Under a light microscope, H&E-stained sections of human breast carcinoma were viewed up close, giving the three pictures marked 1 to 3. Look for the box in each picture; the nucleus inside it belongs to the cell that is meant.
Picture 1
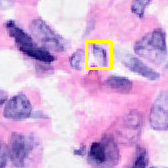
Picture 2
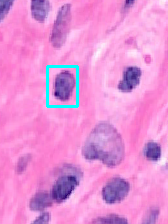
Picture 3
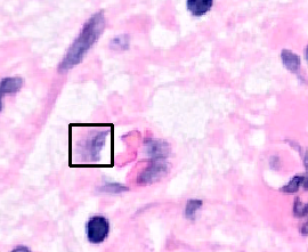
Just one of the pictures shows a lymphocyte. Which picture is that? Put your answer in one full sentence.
The picture with the lymphocyte is 2.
